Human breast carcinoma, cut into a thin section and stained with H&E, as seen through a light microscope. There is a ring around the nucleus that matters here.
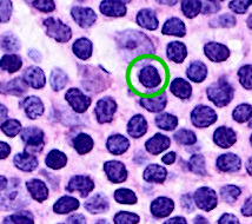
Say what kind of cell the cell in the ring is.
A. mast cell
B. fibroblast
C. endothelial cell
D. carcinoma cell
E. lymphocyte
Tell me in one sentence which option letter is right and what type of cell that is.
Option E, which has the cell in the ring as a lymphocyte, is the correct choice.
